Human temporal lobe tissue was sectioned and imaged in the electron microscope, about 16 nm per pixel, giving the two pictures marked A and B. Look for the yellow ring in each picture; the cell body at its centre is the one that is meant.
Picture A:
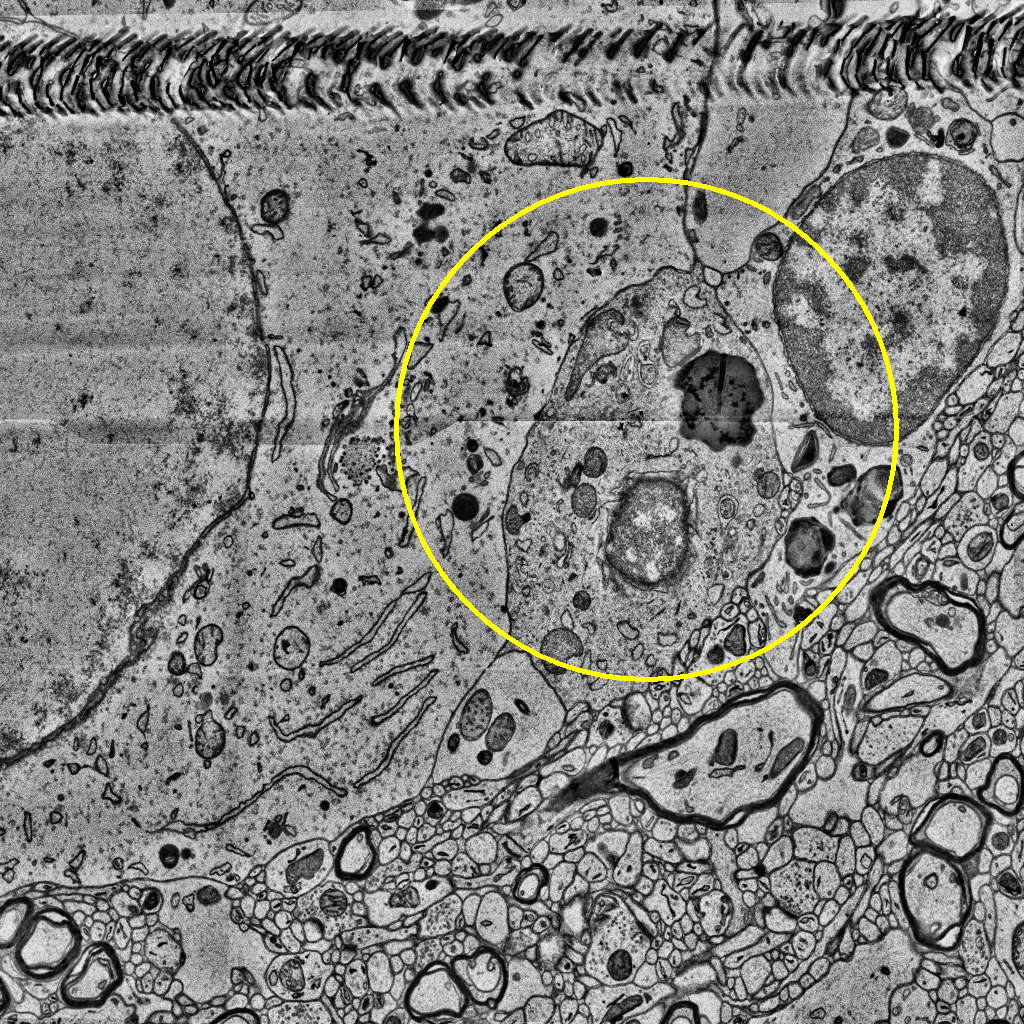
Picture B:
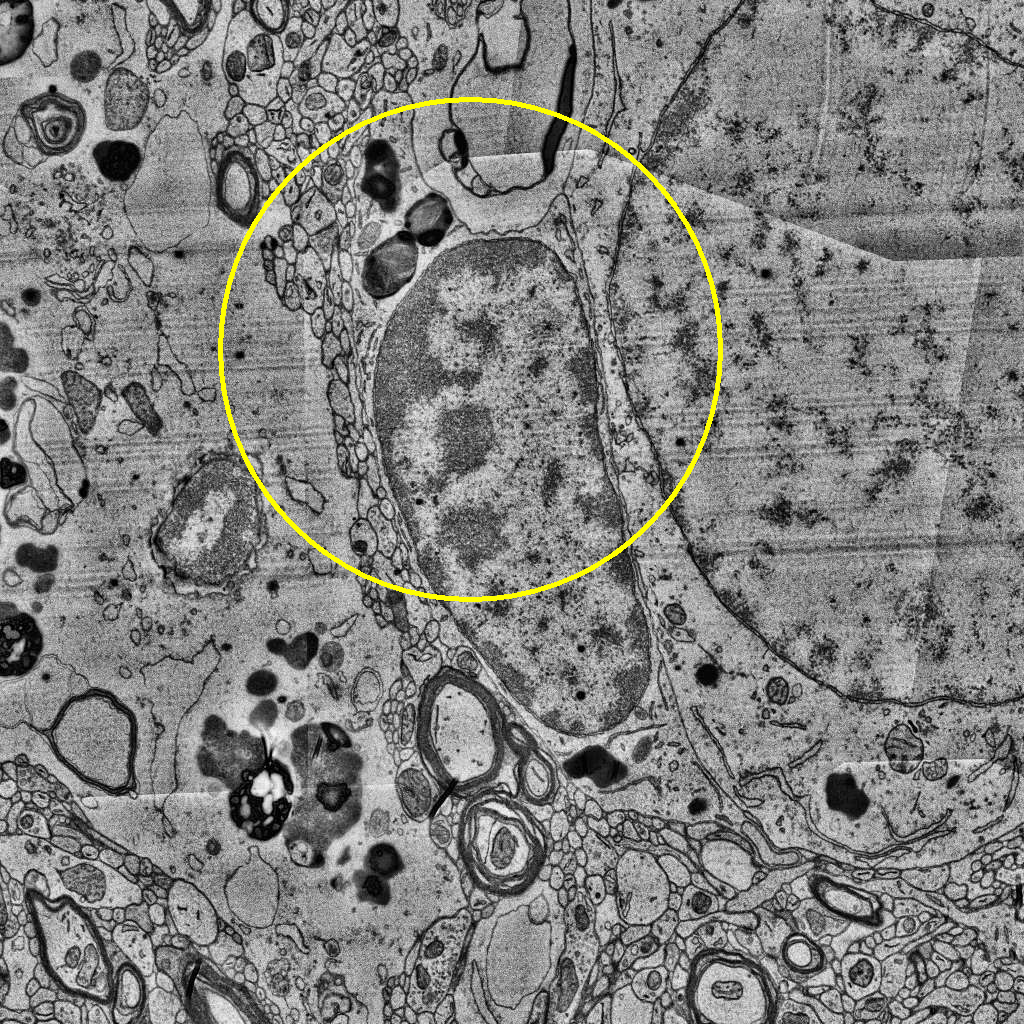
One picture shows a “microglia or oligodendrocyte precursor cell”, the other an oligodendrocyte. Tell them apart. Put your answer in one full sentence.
Picture B shows a “microglia or oligodendrocyte precursor cell”, while picture A shows an oligodendrocyte.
